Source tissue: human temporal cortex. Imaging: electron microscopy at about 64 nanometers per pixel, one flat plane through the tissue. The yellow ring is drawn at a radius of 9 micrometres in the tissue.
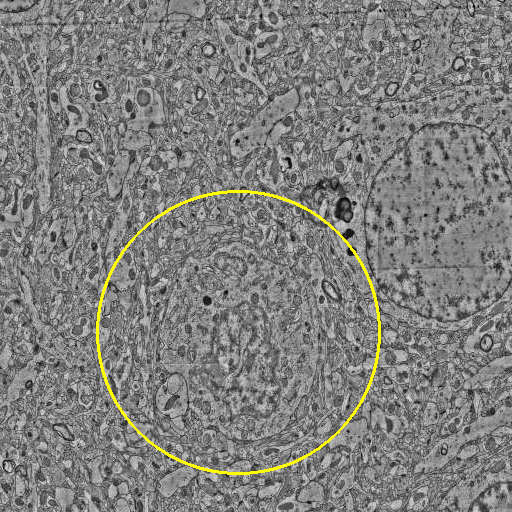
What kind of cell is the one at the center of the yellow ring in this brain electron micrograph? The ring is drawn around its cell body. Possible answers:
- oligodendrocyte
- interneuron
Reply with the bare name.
interneuron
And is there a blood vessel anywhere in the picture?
No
